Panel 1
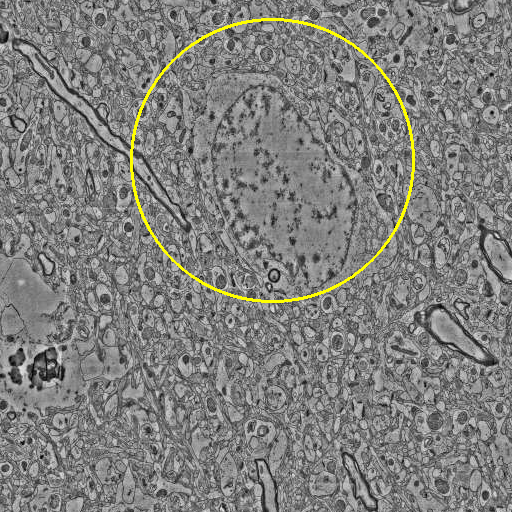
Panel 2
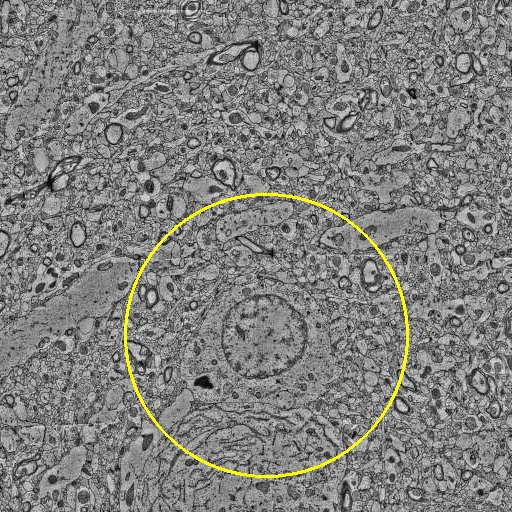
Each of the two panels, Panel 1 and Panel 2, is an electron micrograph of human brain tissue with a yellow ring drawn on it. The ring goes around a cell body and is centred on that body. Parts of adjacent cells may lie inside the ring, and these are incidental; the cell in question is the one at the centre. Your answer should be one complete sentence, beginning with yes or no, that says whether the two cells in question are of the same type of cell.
Yes, the two cells are of the same type.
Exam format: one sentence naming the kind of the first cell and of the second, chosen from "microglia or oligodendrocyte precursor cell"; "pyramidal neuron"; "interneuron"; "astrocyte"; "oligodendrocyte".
Both cells are the same kind, each one being an interneuron.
